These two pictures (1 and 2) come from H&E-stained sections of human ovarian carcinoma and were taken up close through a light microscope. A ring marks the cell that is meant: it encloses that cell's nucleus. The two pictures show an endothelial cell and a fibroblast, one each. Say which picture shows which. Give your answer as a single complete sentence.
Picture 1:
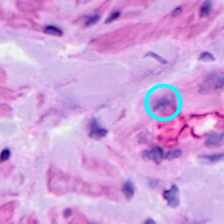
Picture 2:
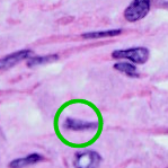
The cell in picture 1 is an endothelial cell, and the one in picture 2 is a fibroblast.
